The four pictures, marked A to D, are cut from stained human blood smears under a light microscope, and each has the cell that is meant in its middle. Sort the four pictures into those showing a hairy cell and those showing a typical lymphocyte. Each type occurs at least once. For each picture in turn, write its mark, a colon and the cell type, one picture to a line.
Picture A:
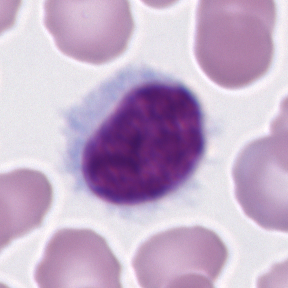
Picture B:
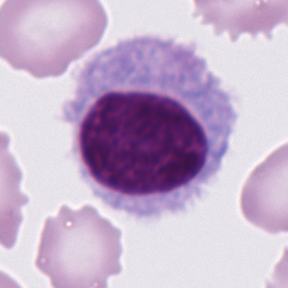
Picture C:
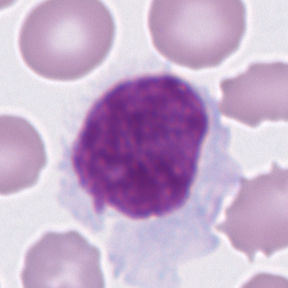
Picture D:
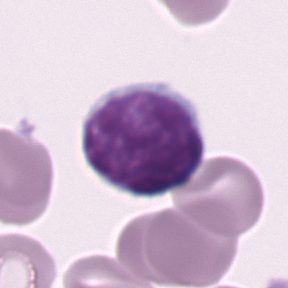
A: hairy cell
B: hairy cell
C: hairy cell
D: typical lymphocyte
